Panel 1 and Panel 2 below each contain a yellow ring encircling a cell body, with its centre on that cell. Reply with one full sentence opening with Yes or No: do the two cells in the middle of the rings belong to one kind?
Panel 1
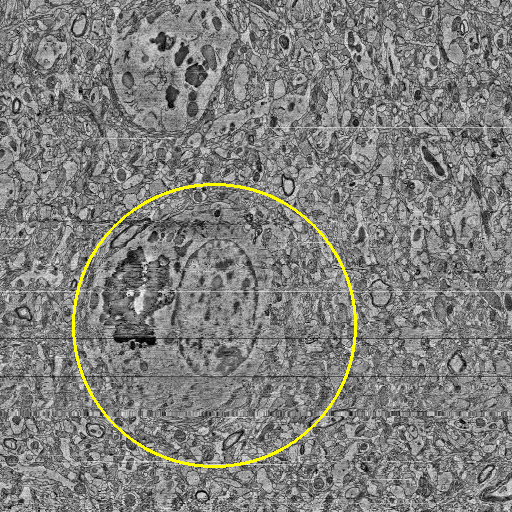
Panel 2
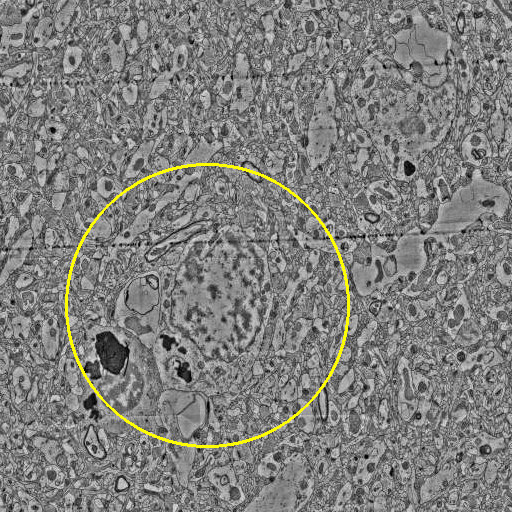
No, the cells at the middle of the Panel 1 ring and the Panel 2 ring are of two kinds.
